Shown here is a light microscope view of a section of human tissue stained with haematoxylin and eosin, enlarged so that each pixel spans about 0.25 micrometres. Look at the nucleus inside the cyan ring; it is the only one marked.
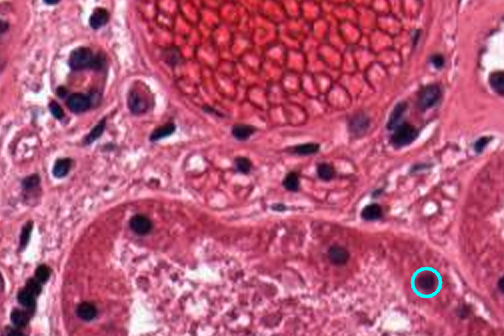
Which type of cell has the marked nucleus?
proximal tubule cell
